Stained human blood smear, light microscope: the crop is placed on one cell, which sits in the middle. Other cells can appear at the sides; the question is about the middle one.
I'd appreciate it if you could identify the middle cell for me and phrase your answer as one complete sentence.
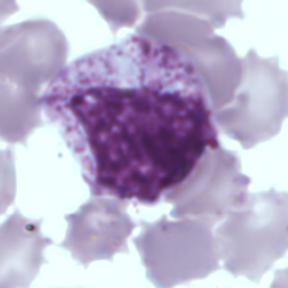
Whatever else lies nearby, the middle cell is a myelocyte.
